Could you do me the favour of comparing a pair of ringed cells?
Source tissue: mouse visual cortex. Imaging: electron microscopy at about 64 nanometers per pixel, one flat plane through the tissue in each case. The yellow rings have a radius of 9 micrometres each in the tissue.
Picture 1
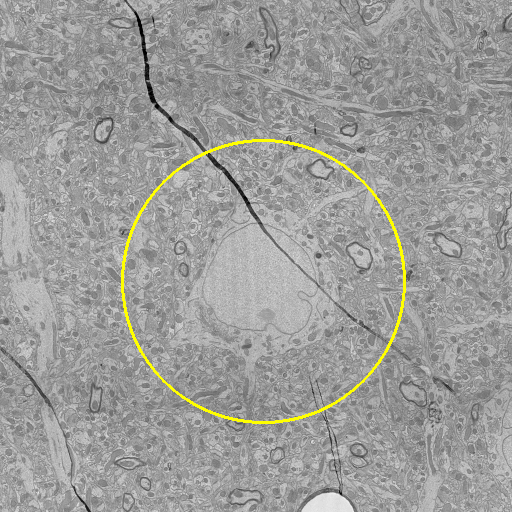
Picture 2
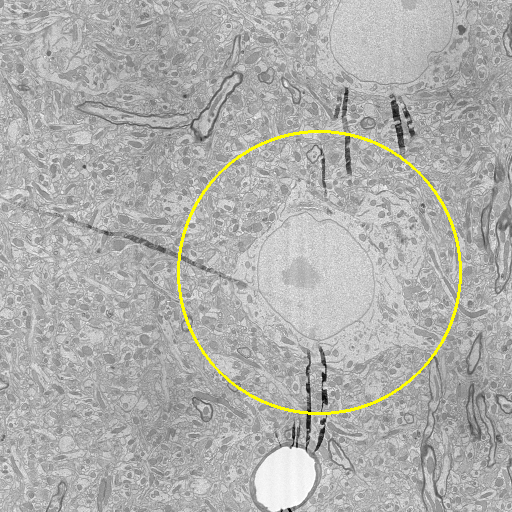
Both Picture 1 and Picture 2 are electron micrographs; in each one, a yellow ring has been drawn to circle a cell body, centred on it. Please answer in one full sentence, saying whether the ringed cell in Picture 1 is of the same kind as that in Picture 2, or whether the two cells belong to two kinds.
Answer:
The ringed cell in Picture 1 is of the same kind as that in Picture 2.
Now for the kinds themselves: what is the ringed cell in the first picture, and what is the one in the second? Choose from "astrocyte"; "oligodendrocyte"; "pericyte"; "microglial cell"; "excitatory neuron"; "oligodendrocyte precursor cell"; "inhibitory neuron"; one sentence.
Both pictures show an excitatory neuron at the centre of the ring.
